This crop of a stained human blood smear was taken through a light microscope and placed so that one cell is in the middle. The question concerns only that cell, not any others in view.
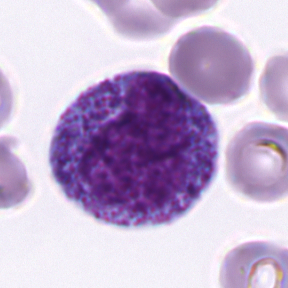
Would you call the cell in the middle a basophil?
no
